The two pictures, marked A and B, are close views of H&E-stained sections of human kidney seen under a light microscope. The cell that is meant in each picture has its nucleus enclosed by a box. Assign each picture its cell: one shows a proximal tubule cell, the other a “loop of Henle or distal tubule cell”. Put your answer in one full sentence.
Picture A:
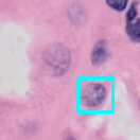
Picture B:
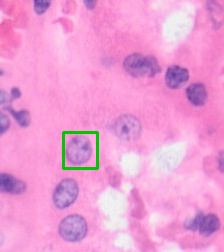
In picture A the cell is a “loop of Henle or distal tubule cell”; in picture B, a proximal tubule cell.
